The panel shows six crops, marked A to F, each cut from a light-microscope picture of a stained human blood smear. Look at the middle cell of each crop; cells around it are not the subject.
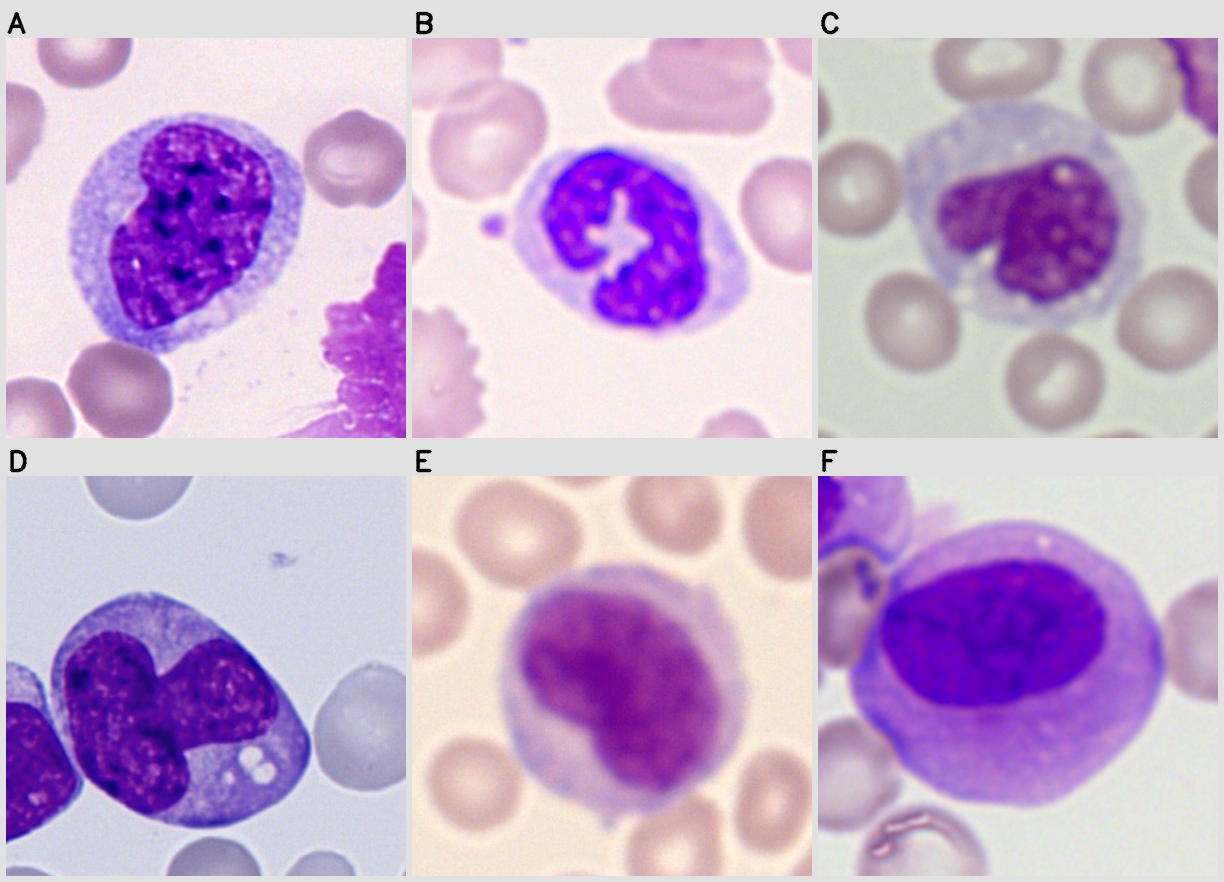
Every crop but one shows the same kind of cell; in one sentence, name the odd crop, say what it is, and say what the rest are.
The exception is crop F: it is a myeloblast, and the others are all monocytes.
